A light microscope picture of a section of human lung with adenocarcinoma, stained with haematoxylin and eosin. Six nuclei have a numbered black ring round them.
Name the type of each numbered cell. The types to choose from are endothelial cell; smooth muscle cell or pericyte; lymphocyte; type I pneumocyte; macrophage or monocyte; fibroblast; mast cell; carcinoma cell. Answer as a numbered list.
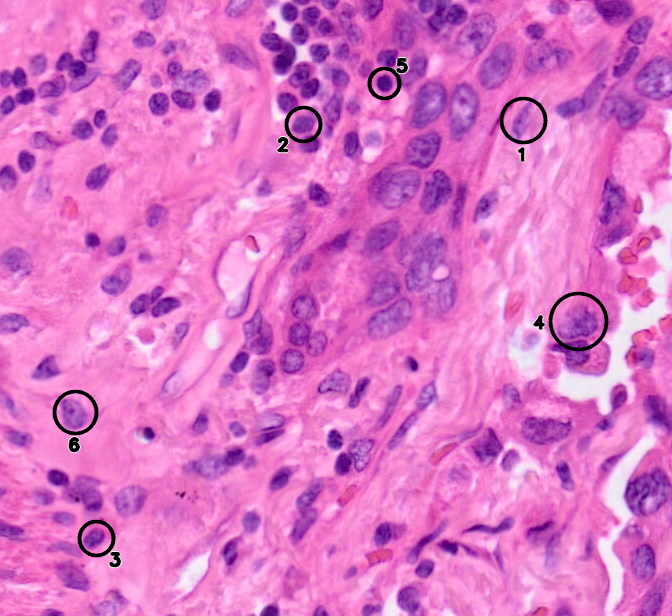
1. fibroblast
2. lymphocyte
3. mast cell
4. carcinoma cell
5. lymphocyte
6. fibroblast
